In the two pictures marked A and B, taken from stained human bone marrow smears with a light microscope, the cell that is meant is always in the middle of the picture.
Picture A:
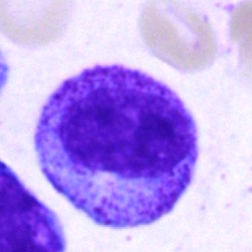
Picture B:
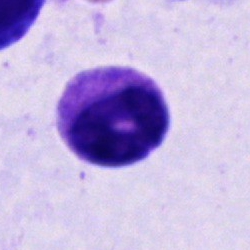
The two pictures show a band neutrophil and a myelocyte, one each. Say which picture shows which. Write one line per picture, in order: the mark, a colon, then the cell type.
A: myelocyte
B: band neutrophil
